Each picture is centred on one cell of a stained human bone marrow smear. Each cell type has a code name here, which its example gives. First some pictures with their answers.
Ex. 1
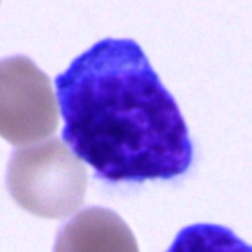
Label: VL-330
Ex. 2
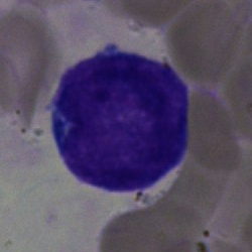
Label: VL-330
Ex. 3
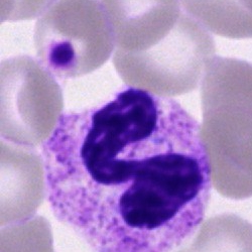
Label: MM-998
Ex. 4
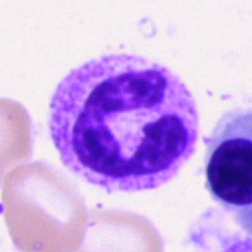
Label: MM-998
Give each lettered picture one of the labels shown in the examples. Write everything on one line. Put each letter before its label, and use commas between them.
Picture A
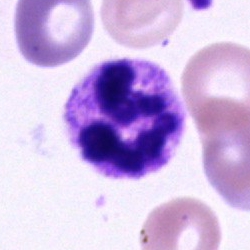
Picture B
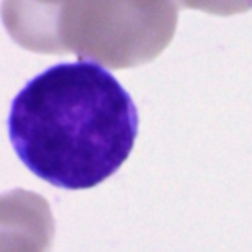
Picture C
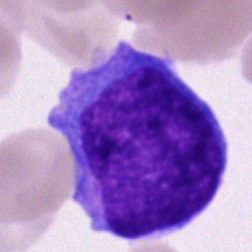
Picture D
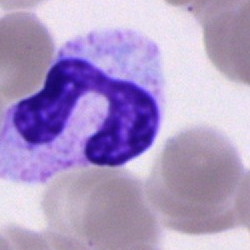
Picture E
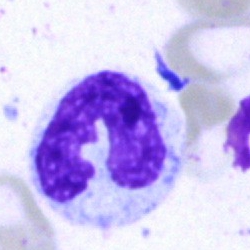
A MM-998, B VL-330, C VL-330, D MM-998, E MM-998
